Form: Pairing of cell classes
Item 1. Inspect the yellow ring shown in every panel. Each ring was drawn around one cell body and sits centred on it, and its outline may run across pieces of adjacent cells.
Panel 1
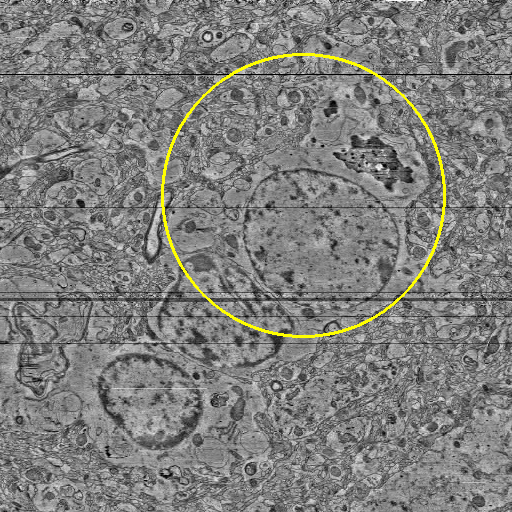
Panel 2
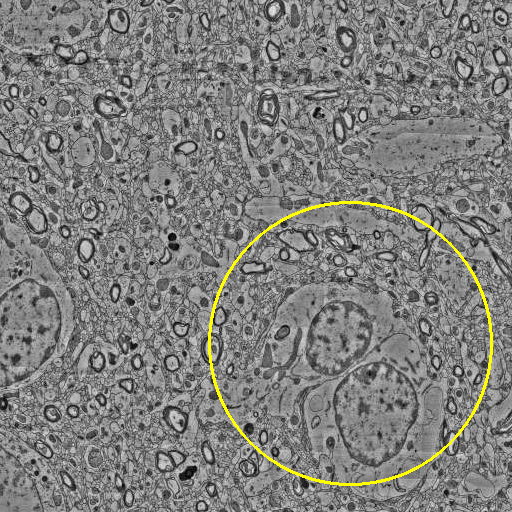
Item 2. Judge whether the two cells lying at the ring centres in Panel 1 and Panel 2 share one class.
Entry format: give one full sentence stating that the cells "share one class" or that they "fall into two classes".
The cells at the ring centres in Panel 1 and Panel 2 share one class.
